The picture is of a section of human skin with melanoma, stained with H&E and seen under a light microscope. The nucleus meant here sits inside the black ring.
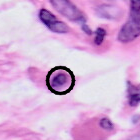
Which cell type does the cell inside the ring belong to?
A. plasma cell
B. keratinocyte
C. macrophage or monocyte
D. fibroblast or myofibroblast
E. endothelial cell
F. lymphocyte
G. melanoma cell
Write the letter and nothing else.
C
